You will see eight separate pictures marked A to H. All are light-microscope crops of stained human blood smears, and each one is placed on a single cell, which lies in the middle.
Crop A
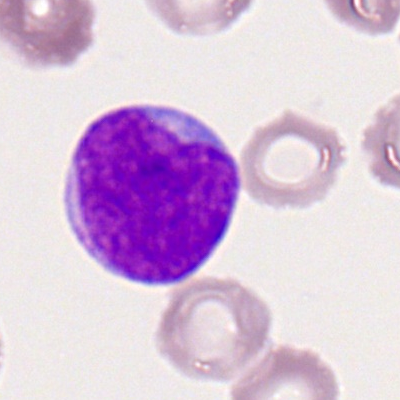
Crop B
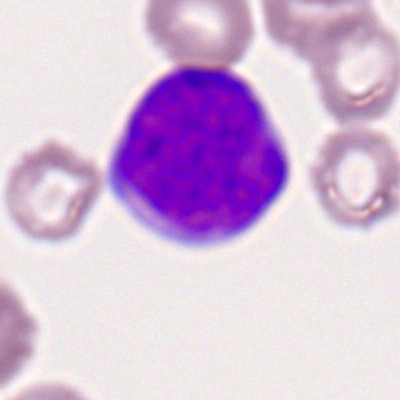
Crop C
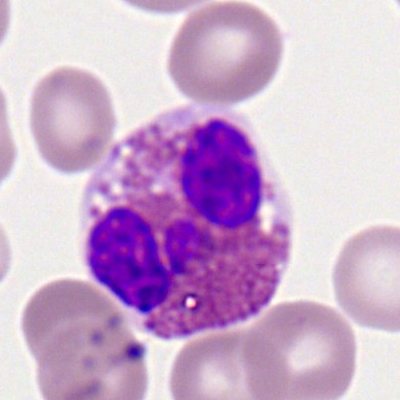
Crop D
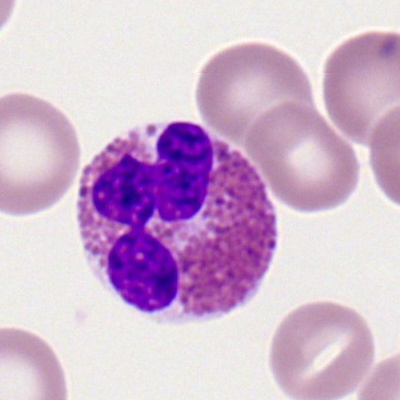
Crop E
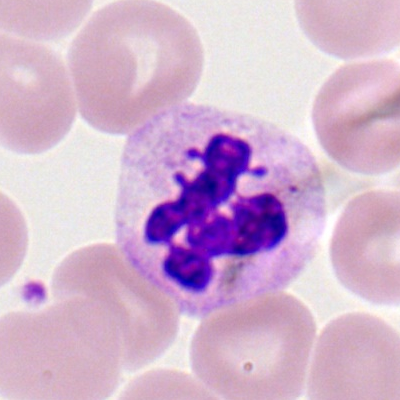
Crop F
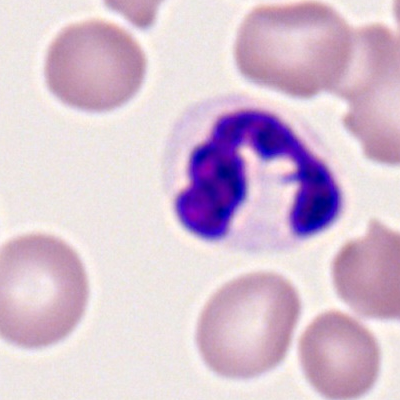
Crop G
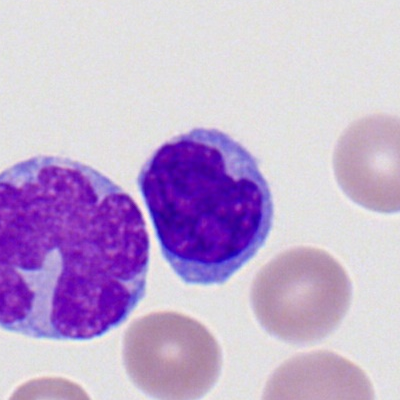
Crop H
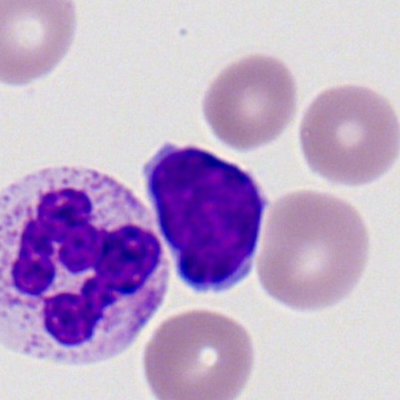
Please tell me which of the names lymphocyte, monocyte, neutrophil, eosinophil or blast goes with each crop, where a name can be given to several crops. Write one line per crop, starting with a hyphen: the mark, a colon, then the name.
- A: blast
- B: blast
- C: eosinophil
- D: eosinophil
- E: neutrophil
- F: neutrophil
- G: lymphocyte
- H: lymphocyte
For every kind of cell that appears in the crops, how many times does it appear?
blast: 2
eosinophil: 2
neutrophil: 2
lymphocyte: 2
